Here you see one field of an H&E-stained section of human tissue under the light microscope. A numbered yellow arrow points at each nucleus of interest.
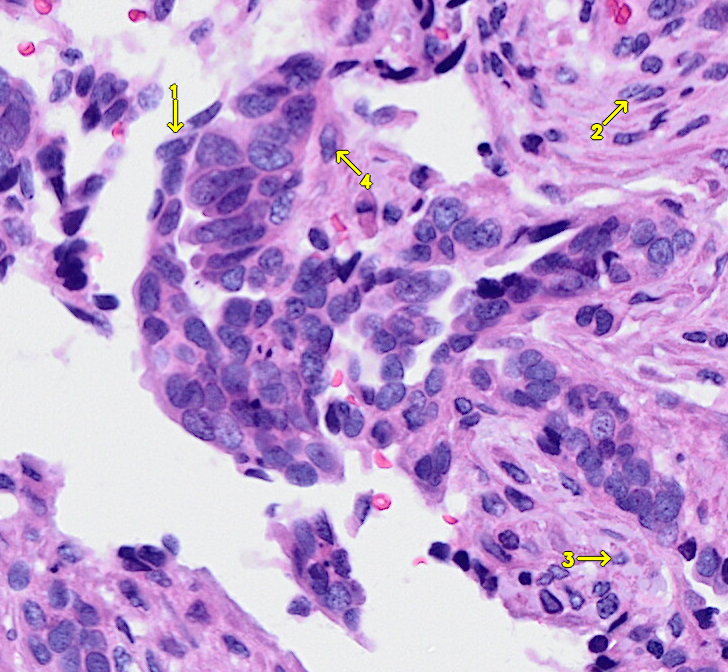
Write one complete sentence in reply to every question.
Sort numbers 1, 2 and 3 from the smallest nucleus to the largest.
By area, going up from the smallest, they rank 3, 2, 1.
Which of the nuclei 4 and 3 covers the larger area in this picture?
Nucleus 4 is the larger one, covering about 3 times the area of nucleus 3.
